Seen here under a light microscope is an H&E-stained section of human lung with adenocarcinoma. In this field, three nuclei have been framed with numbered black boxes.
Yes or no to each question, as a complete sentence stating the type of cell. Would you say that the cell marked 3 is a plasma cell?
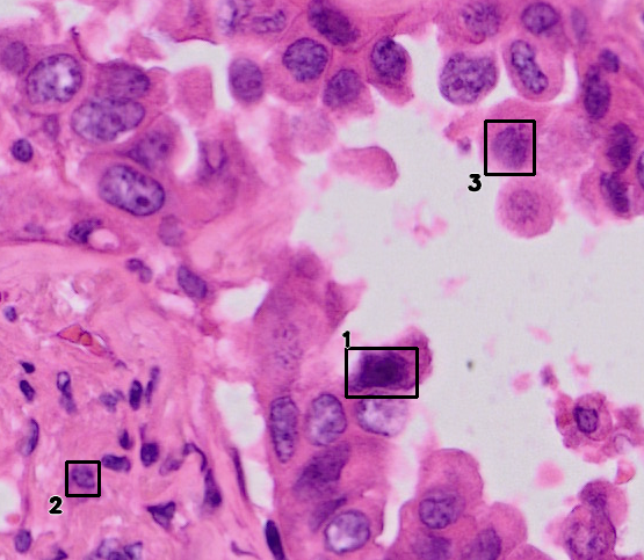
No, number 3 points to a carcinoma cell and not to a plasma cell.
